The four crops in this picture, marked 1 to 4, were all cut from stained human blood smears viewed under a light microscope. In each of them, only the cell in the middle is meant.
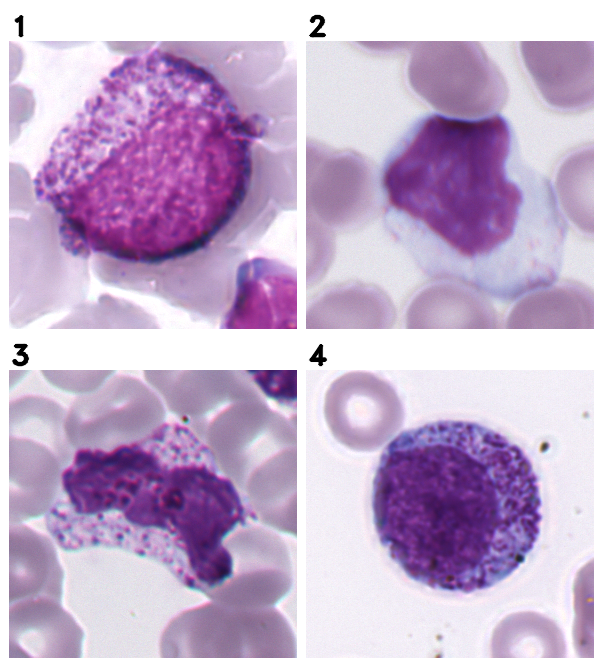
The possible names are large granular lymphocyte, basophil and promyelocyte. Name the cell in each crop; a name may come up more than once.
1: promyelocyte
2: large granular lymphocyte
3: basophil
4: promyelocyte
